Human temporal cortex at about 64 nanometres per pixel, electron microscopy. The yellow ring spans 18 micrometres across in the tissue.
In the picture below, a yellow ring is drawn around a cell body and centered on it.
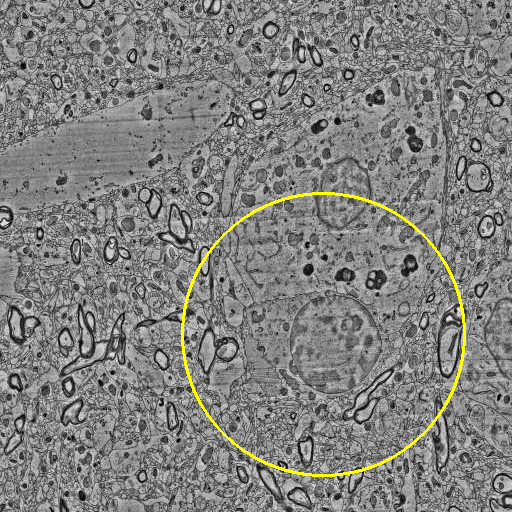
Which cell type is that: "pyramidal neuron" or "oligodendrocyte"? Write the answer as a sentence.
The cell centered in the ring is an oligodendrocyte.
